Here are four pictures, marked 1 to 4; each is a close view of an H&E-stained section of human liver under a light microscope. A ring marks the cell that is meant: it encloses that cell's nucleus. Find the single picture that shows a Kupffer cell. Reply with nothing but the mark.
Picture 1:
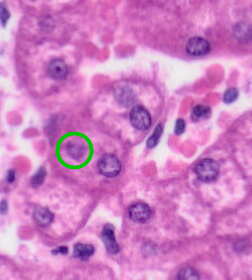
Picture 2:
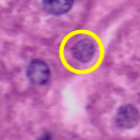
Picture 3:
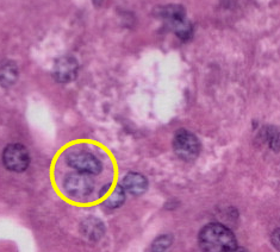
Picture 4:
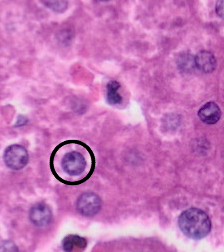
2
